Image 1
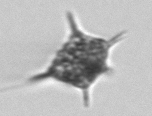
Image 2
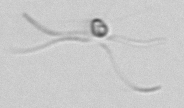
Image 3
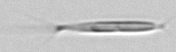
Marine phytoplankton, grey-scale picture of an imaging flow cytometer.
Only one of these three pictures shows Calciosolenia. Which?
Picture 3.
